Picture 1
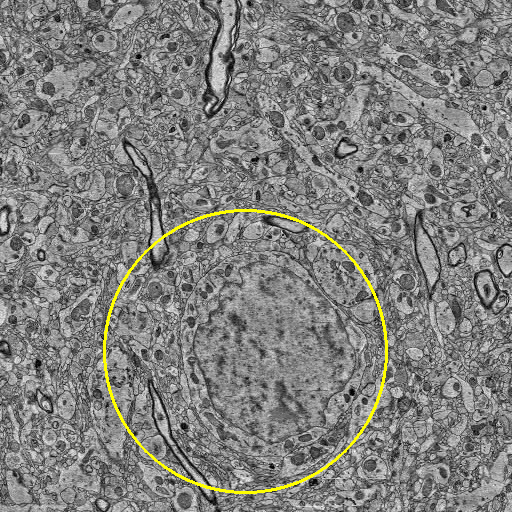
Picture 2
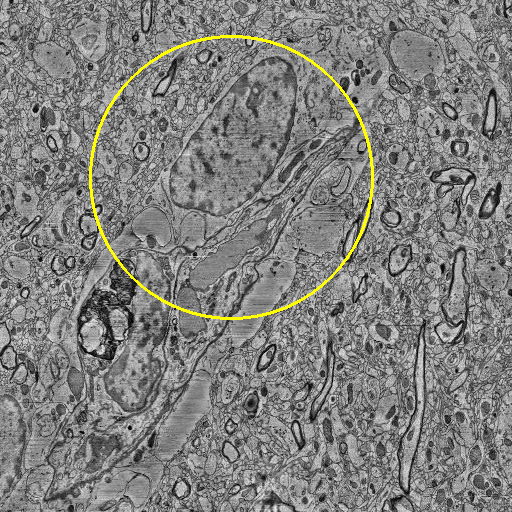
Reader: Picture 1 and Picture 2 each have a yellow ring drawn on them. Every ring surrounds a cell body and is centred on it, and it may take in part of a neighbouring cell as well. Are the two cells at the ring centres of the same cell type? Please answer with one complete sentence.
No, the cells are of two cell types.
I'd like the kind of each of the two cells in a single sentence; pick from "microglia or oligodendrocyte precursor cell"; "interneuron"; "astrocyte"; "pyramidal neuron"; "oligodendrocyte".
The first ring marks an interneuron, and the second ring marks a microglial cell or oligodendrocyte precursor cell.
